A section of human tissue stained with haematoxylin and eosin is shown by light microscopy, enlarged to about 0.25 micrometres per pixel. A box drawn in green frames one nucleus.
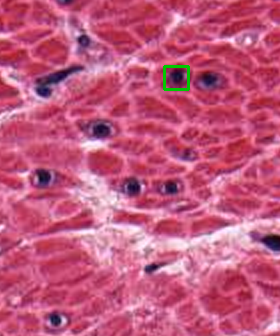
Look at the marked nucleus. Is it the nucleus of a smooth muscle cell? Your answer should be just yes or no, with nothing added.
yes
